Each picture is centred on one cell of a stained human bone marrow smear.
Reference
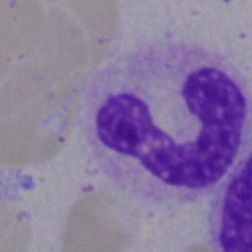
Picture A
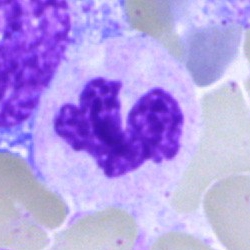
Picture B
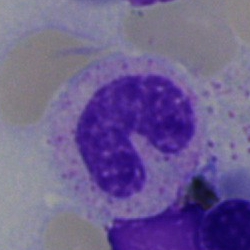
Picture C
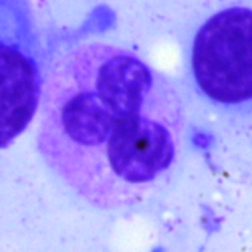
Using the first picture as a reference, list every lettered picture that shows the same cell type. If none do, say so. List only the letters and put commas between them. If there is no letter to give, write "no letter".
A, C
